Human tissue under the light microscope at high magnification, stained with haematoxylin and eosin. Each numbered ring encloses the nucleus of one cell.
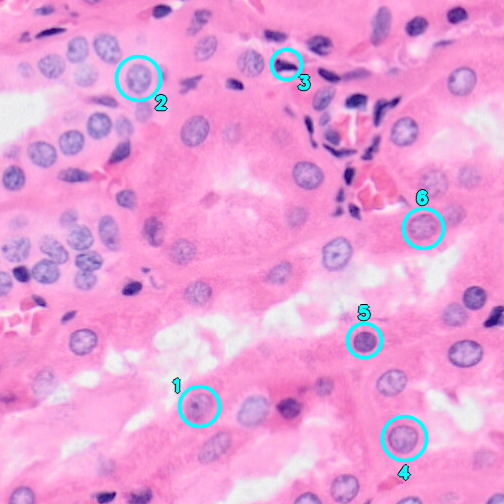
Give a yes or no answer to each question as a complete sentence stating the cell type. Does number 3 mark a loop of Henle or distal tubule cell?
Yes, the cell identified as number 3 is a loop of Henle or distal tubule cell.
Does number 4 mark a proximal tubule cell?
Yes, so the cell at label 4 is a proximal tubule cell.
